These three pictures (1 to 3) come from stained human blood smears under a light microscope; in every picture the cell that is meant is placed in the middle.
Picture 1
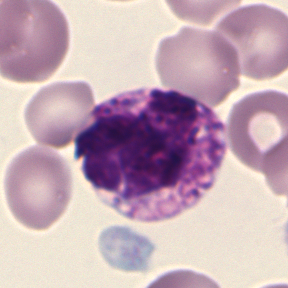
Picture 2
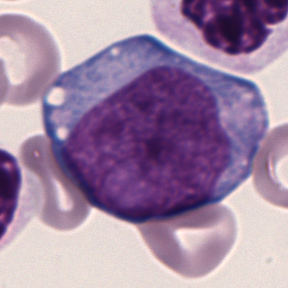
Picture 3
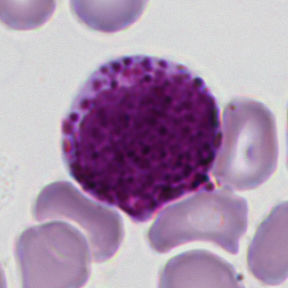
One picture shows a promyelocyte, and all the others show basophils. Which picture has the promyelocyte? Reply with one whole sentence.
The promyelocyte is the one in picture 2.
